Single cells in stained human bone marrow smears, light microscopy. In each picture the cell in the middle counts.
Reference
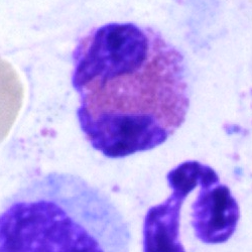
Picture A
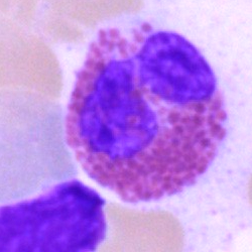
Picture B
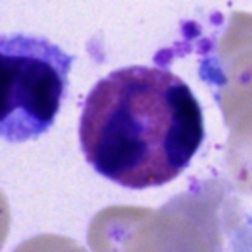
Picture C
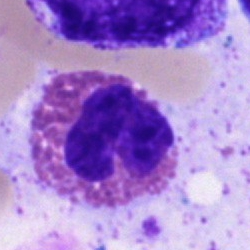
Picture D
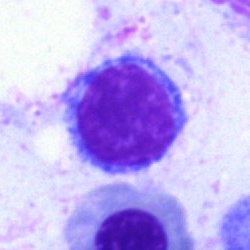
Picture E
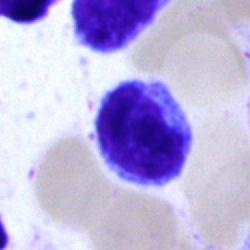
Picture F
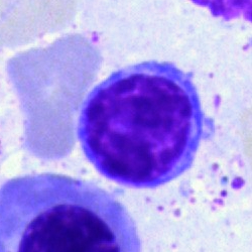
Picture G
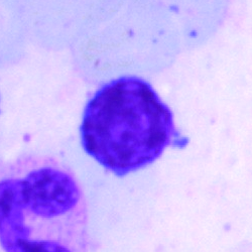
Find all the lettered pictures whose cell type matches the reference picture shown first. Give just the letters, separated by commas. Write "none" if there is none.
A, B, C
